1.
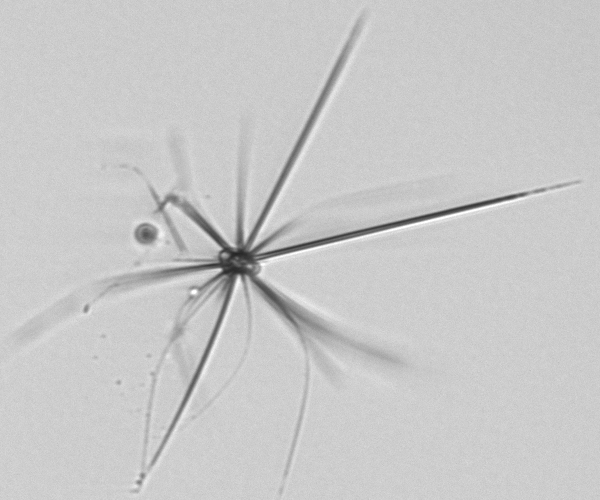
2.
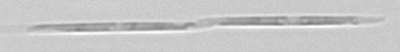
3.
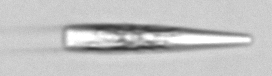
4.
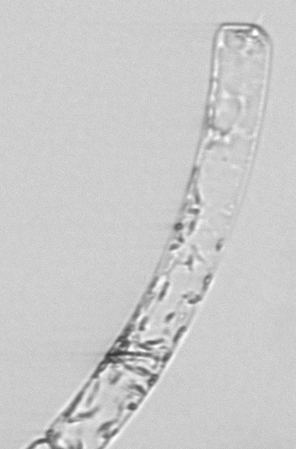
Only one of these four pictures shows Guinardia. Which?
Picture 4.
